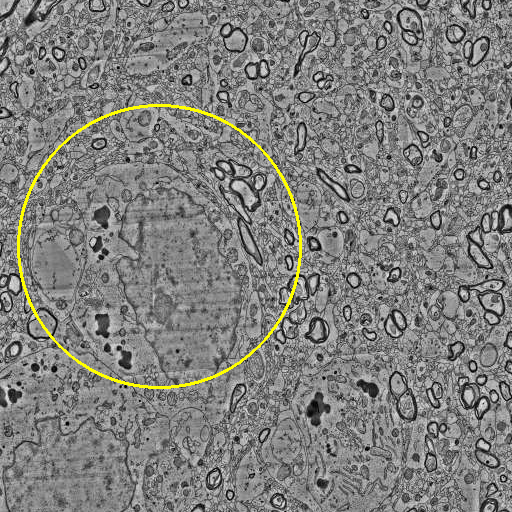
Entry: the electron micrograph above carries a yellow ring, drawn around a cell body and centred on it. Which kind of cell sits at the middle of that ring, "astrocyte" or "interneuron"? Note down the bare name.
interneuron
